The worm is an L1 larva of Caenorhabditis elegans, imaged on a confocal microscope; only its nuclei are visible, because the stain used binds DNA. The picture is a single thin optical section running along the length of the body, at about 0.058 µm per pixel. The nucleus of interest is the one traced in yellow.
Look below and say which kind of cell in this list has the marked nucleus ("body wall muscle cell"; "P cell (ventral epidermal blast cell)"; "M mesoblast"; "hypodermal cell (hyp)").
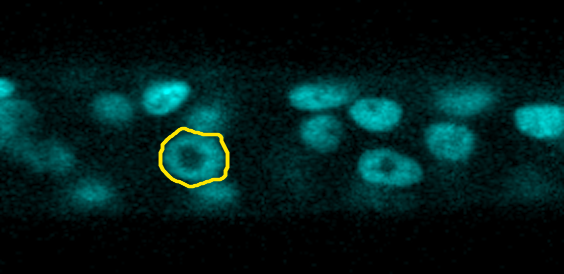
M mesoblast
